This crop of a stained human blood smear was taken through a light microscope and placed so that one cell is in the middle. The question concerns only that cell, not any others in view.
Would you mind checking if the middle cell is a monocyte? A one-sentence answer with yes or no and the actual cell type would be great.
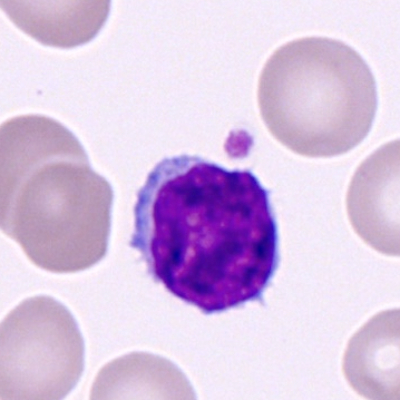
No, what the centre of the crop shows is a lymphocyte, not a monocyte.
